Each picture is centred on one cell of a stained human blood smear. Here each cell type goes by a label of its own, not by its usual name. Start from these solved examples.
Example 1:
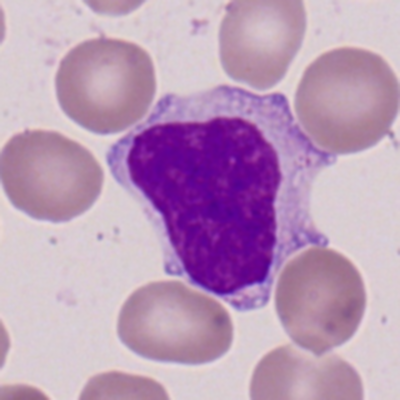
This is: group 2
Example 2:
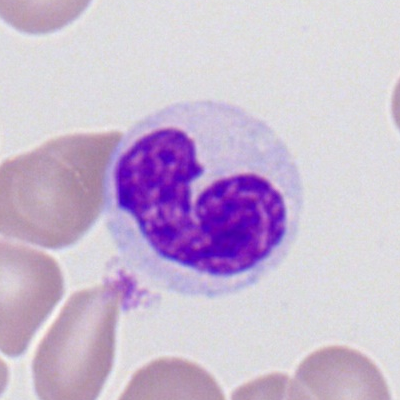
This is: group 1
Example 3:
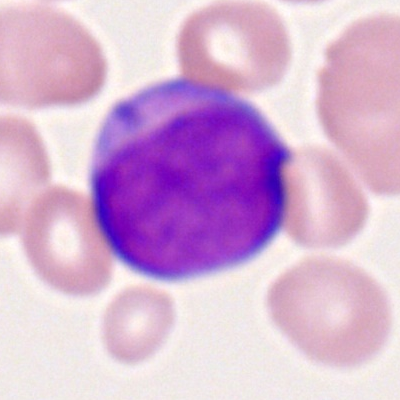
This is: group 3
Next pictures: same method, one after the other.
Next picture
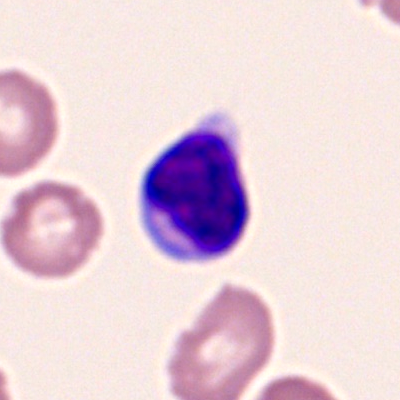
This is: group 2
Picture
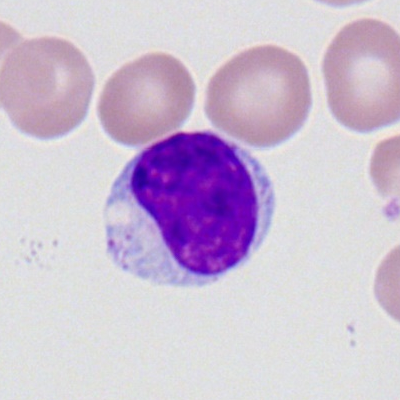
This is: group 2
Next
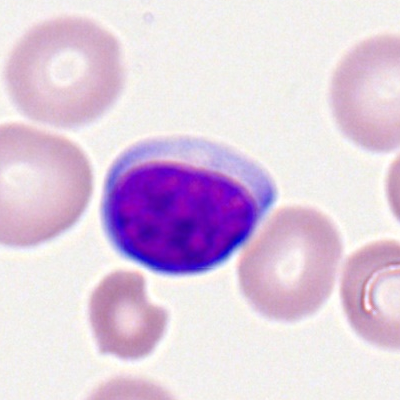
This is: group 2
